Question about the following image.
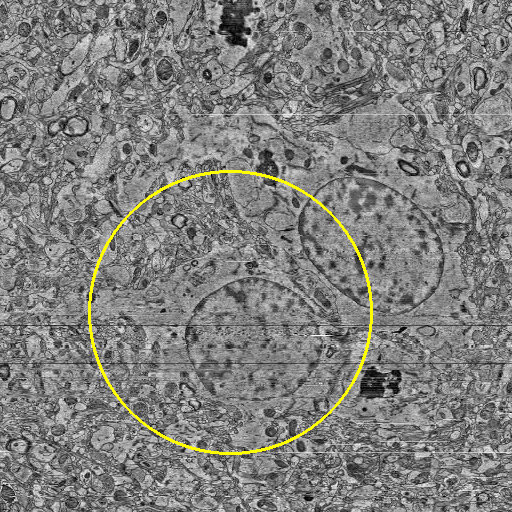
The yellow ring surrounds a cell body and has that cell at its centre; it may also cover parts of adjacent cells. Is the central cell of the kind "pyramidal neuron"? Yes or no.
No, it is of another kind.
